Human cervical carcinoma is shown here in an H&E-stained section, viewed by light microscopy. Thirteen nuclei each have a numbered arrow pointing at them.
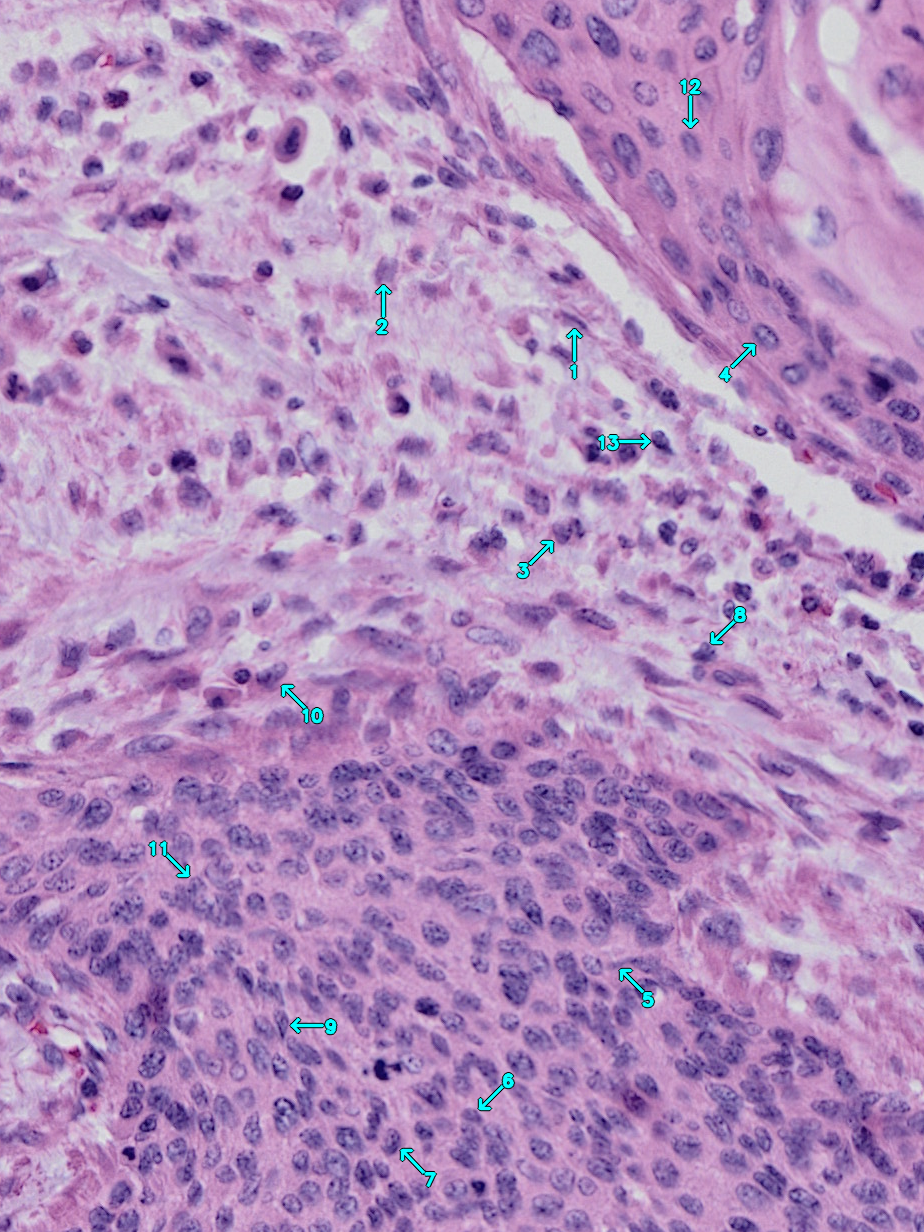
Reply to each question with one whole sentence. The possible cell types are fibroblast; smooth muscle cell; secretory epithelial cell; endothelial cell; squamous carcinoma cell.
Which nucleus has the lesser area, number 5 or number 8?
With nucleus 8 about 2.5 times its size, nucleus 5 is the smaller of the two.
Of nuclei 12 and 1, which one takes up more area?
Number 12 is larger; its area is about 2.5 times that of number 1.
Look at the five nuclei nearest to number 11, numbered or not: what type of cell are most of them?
Around number 11, most of the five nearest nuclei are those of squamous carcinoma cells.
